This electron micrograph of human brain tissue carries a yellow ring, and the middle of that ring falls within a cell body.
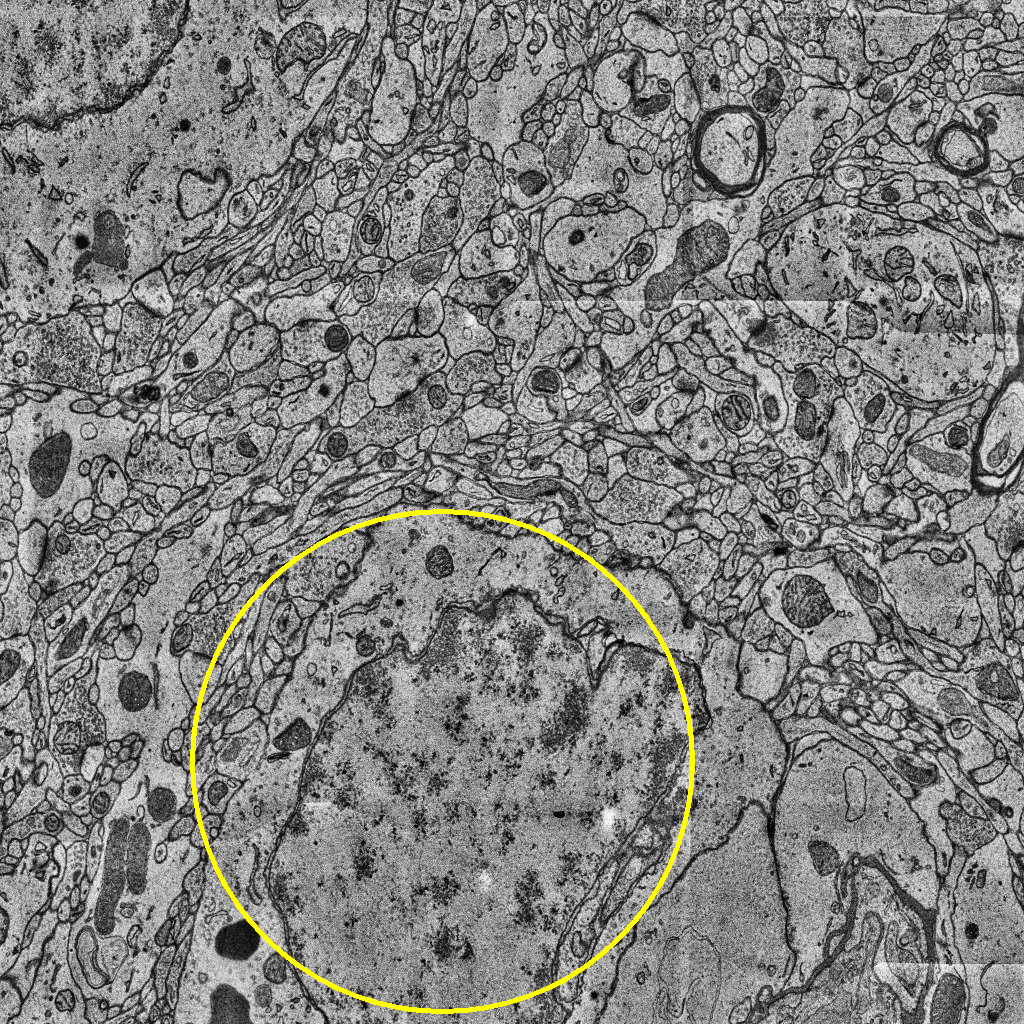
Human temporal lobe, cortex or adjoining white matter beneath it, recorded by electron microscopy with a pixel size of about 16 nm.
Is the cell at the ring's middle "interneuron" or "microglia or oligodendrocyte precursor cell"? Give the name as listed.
interneuron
